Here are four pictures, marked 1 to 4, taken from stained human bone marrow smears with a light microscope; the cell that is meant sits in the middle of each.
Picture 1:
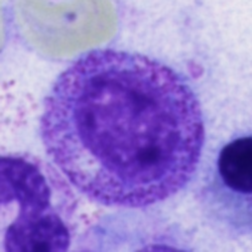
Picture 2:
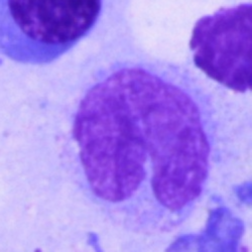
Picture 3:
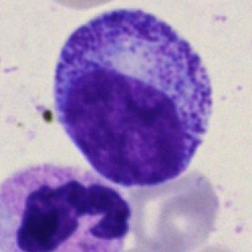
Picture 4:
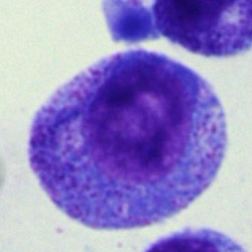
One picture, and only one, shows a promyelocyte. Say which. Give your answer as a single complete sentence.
Picture 4 is the one that shows the promyelocyte.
